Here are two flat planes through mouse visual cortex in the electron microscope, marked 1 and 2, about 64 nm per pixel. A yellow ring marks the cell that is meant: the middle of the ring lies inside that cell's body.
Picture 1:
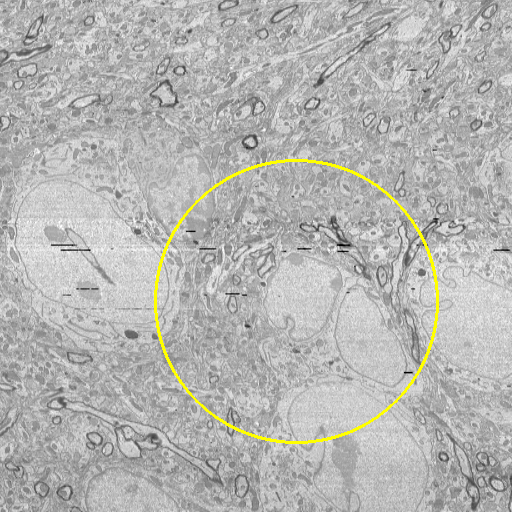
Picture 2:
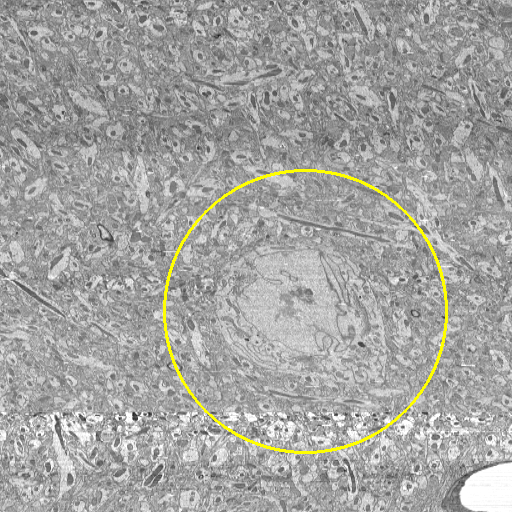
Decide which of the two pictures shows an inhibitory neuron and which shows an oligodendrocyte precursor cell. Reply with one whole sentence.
Picture 1 shows an oligodendrocyte precursor cell and picture 2 shows an inhibitory neuron.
